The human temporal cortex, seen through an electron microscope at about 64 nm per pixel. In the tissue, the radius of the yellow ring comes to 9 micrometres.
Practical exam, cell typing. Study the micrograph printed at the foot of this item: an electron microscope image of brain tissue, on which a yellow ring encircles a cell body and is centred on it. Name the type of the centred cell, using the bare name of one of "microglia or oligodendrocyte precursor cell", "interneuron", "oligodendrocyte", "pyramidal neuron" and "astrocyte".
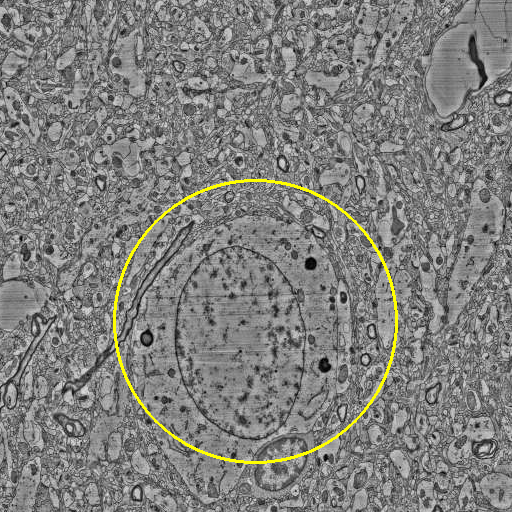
pyramidal neuron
